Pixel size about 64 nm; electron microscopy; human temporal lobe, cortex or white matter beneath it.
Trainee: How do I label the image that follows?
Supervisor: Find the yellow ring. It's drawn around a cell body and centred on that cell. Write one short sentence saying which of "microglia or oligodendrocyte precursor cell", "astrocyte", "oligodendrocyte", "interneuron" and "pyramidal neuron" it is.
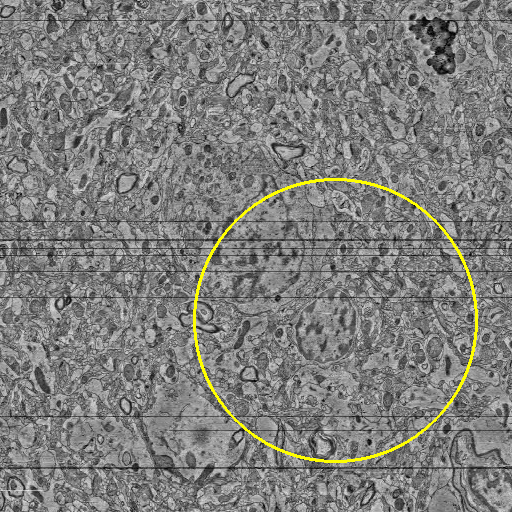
This is the cell body of a microglial cell or oligodendrocyte precursor cell.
